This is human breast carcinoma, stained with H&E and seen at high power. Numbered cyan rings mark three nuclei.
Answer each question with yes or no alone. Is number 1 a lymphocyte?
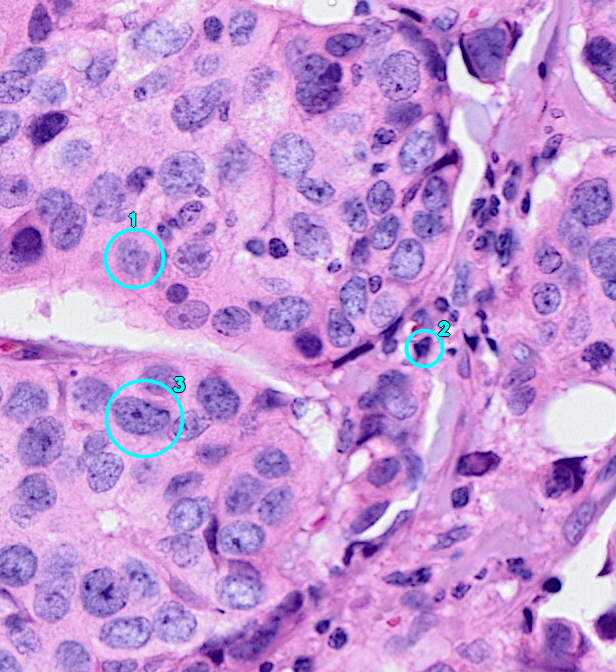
no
